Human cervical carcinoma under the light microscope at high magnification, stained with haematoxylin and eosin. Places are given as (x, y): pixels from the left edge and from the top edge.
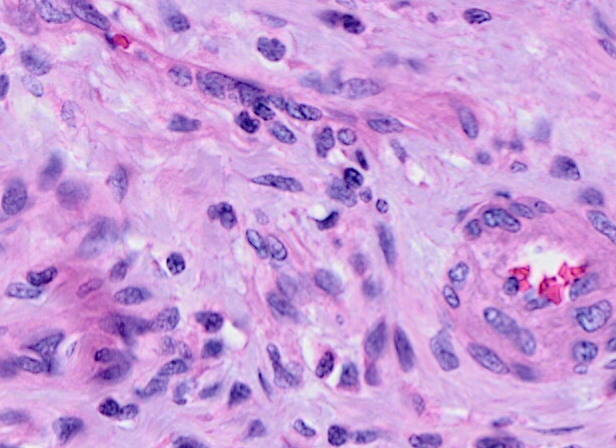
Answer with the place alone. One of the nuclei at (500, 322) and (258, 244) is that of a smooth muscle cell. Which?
(500, 322)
